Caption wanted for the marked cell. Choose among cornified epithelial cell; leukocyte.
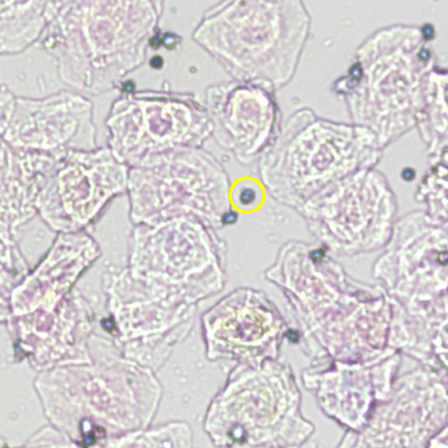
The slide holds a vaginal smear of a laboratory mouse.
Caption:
Ringed in yellow is a leukocyte.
